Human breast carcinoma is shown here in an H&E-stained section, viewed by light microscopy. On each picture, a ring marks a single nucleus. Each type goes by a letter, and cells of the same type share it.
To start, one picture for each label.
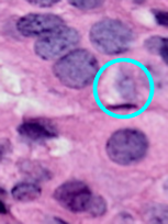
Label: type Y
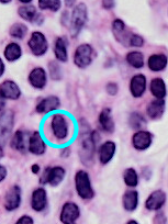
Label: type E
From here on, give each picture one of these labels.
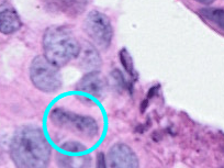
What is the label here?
type Y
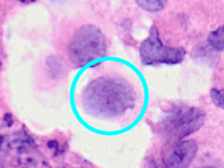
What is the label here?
type Y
